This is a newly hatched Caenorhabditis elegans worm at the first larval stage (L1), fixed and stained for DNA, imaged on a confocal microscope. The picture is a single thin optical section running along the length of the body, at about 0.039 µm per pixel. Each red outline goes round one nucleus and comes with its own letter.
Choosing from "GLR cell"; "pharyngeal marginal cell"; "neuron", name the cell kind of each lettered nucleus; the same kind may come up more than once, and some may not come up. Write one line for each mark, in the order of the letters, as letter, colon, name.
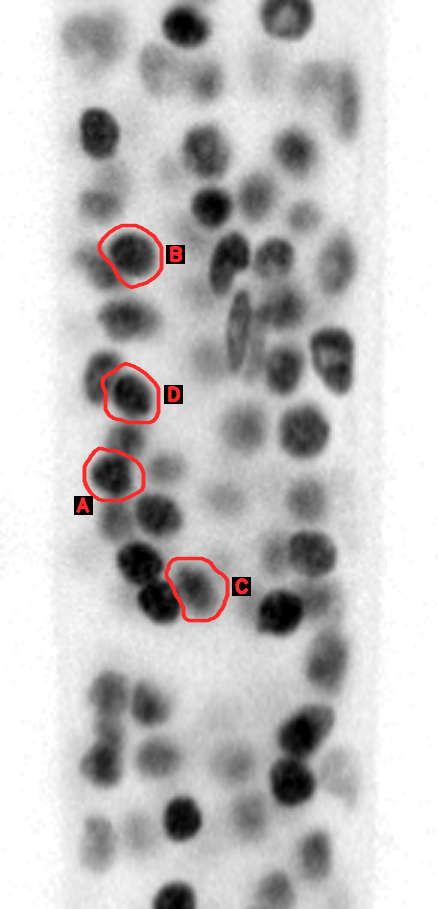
A: neuron
B: neuron
C: GLR cell
D: neuron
